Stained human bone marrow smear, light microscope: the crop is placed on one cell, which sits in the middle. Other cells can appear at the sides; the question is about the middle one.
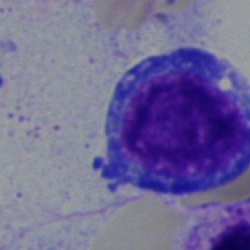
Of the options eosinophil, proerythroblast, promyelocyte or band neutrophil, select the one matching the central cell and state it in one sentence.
Framed in the middle of the crop is a proerythroblast.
